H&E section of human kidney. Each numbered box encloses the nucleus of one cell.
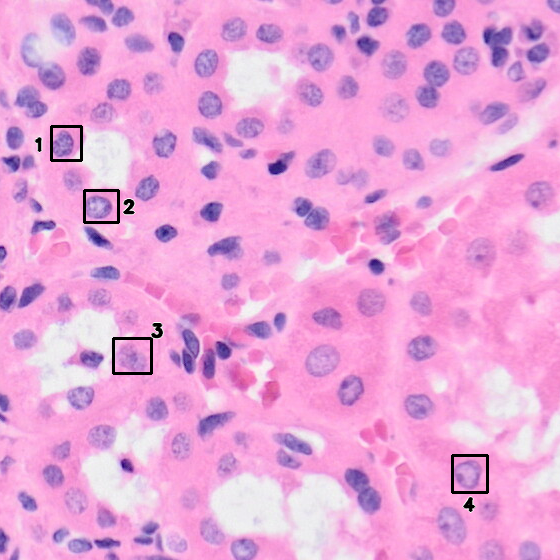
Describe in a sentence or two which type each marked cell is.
Cells 1, 2 and 3 are loop of Henle or distal tubule cells. Cell 4 is a proximal tubule cell.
